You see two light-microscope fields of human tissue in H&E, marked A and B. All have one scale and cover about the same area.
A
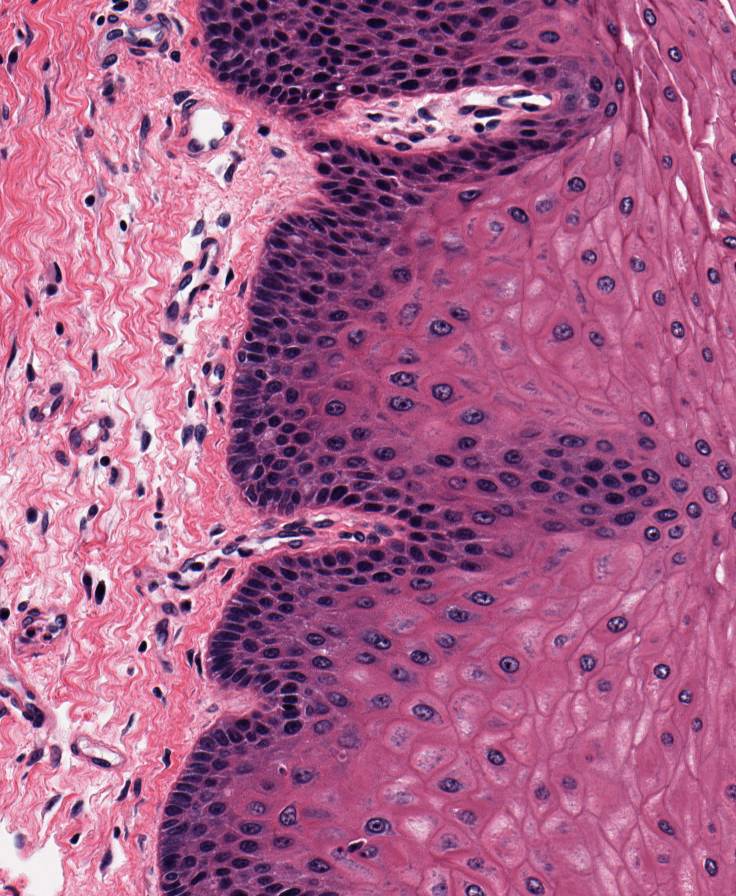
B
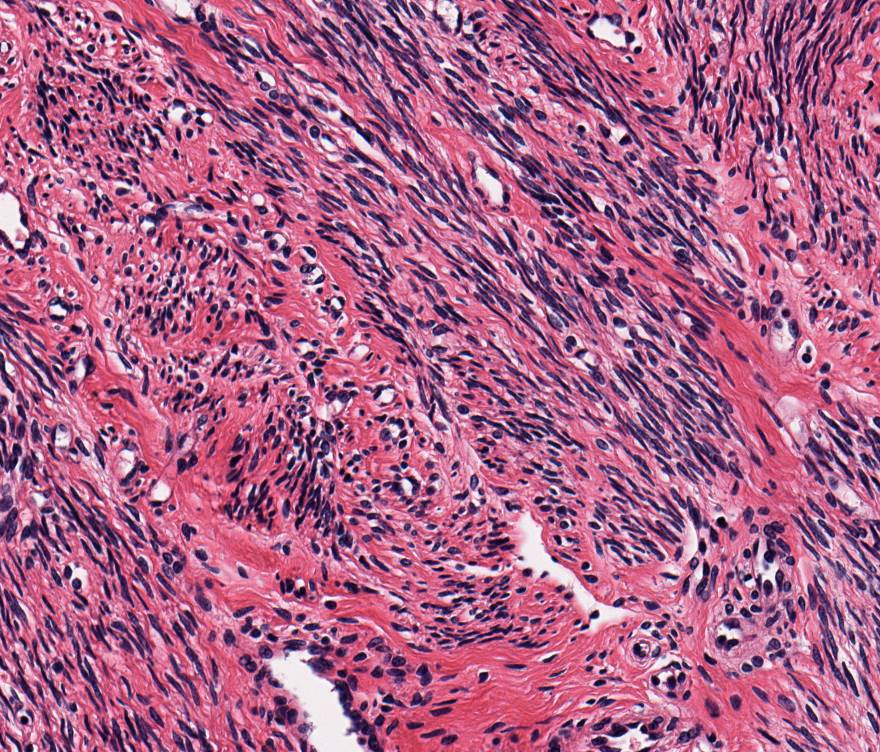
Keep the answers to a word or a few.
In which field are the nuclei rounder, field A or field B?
A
